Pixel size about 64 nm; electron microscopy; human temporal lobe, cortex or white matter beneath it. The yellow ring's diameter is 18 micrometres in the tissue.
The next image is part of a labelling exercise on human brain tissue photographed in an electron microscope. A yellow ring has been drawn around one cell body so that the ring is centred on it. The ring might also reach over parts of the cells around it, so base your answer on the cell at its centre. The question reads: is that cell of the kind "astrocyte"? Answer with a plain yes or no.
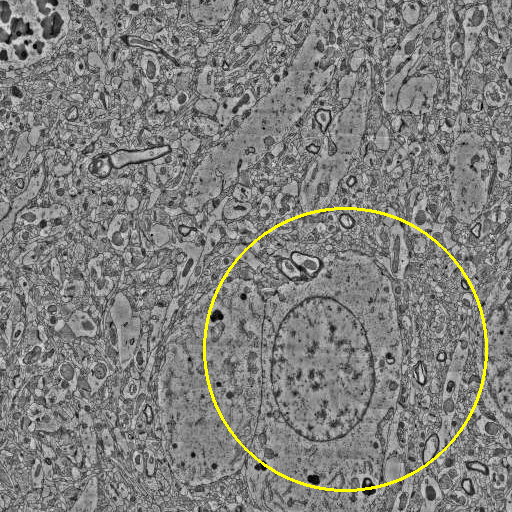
no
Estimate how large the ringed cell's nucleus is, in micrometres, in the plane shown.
In this plane, approximately 9 by 7 micrometers.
